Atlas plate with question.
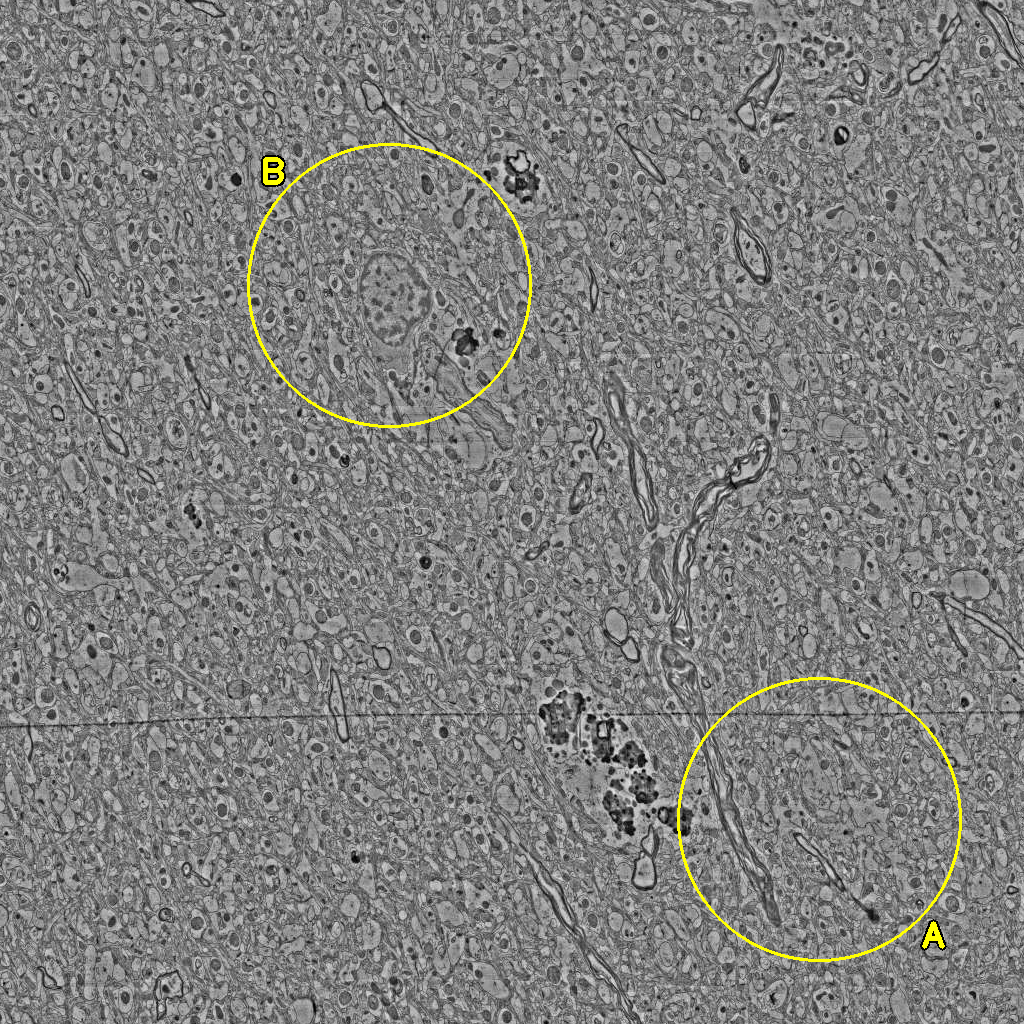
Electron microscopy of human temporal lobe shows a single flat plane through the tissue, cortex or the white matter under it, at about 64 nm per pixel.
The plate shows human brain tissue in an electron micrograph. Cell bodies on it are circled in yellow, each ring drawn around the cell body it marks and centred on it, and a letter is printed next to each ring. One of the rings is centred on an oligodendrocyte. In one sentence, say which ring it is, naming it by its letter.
It is ring B.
